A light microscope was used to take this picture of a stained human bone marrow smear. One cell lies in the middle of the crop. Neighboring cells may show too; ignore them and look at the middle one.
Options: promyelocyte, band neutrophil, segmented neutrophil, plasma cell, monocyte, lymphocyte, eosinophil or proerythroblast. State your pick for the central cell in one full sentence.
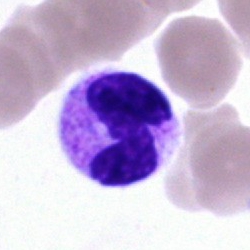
The crop centres on a single cell, and that cell is a segmented neutrophil.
